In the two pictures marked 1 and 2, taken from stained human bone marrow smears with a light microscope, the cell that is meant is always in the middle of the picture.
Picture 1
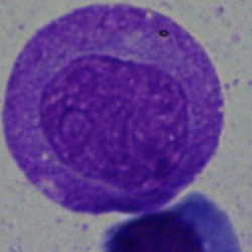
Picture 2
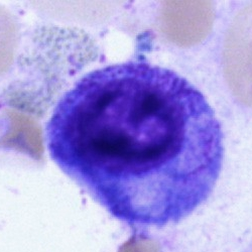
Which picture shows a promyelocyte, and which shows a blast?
1: blast
2: promyelocyte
